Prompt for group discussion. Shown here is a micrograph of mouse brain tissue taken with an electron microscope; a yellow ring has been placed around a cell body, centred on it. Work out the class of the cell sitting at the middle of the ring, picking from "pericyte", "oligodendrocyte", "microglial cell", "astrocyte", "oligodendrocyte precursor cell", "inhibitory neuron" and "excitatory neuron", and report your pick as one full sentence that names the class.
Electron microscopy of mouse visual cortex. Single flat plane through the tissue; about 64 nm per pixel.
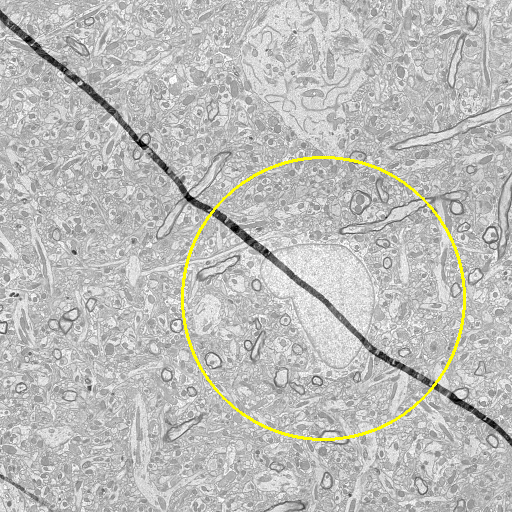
The cell sitting at the middle of the yellow ring is an astrocyte.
